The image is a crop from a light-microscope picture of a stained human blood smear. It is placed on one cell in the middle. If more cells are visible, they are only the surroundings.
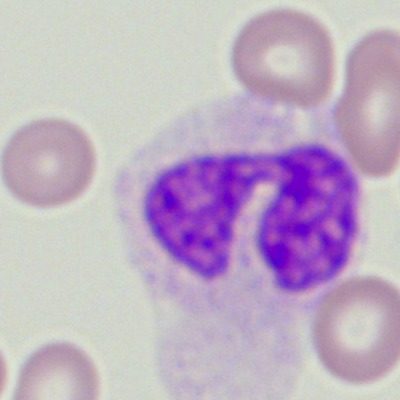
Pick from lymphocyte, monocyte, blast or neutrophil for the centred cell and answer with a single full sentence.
The cell occupying the middle of the crop is a monocyte.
